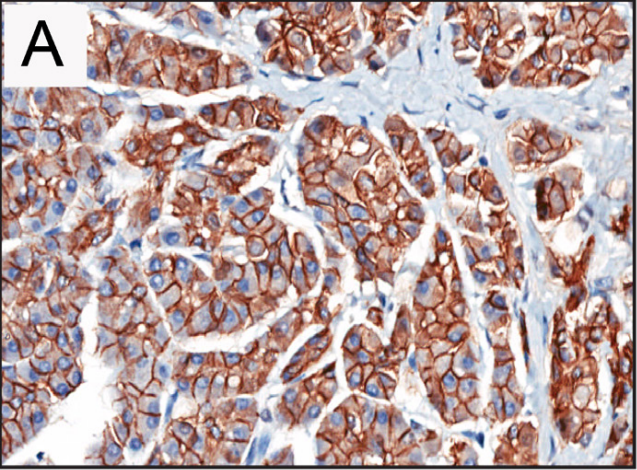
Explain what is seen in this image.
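A dark brown line runs along every cell border, outlining the cells like a honeycomb. The cytoplasm carries a lighter diffuse brown tint. The intervening stroma with its spindle-shaped nuclei is unstained.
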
